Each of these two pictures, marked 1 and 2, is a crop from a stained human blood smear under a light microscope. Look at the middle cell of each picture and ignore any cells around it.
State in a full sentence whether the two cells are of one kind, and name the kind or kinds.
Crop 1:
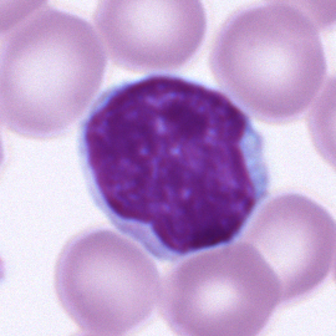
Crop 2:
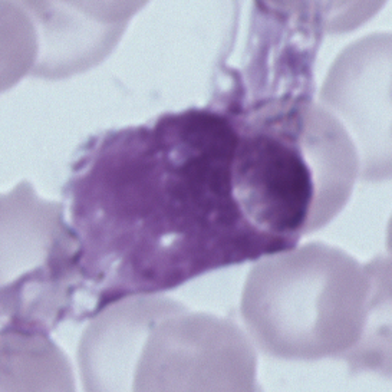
No, the middle of crop 1 shows a typical lymphocyte, and the middle of crop 2 shows a smudge cell.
